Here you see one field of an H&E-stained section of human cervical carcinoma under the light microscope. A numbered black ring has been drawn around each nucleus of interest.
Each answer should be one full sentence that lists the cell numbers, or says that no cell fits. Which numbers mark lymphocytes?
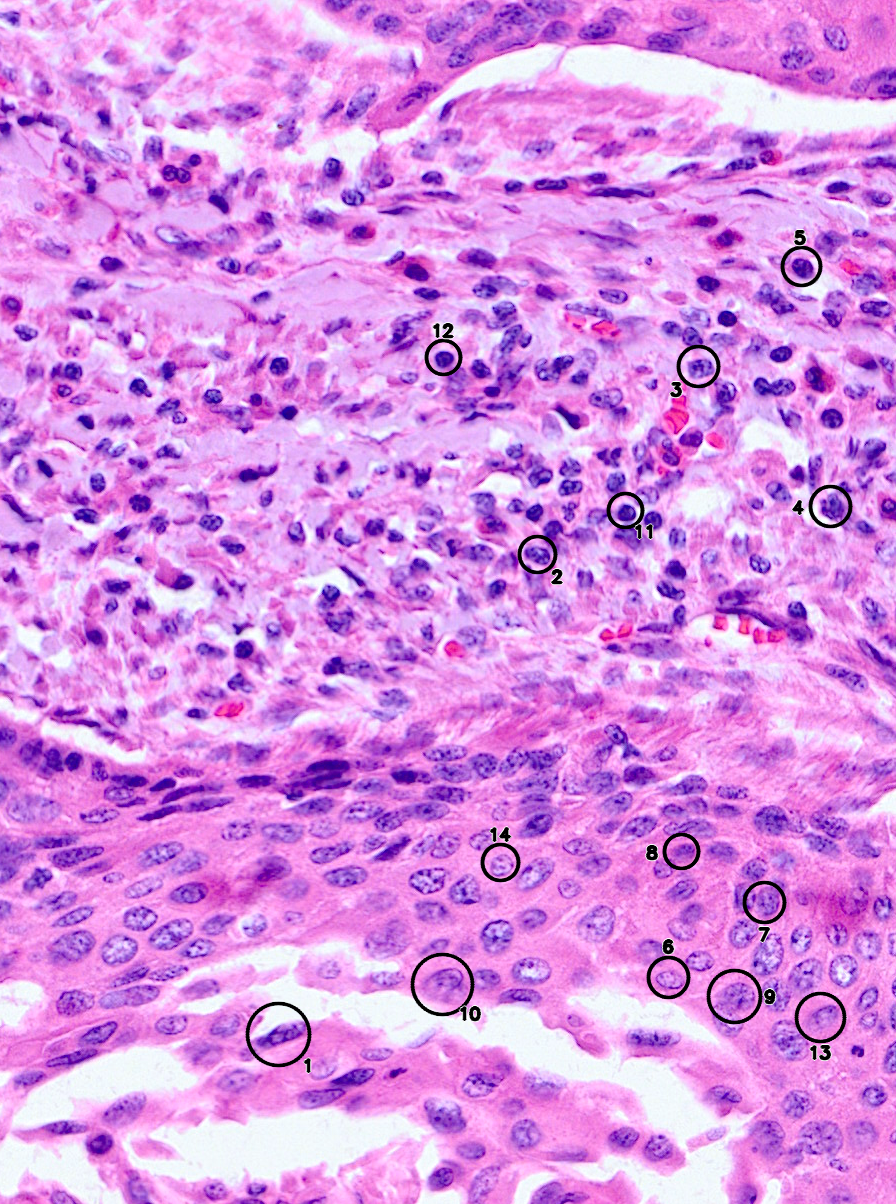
As for the cells numbered 2, 3, 4, 5, 11 and 12, they are lymphocytes.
